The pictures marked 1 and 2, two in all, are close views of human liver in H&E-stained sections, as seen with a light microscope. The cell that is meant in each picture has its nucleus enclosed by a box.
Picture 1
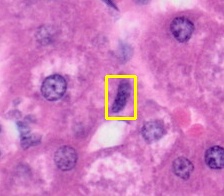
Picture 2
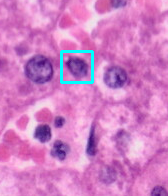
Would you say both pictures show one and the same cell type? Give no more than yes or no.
yes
